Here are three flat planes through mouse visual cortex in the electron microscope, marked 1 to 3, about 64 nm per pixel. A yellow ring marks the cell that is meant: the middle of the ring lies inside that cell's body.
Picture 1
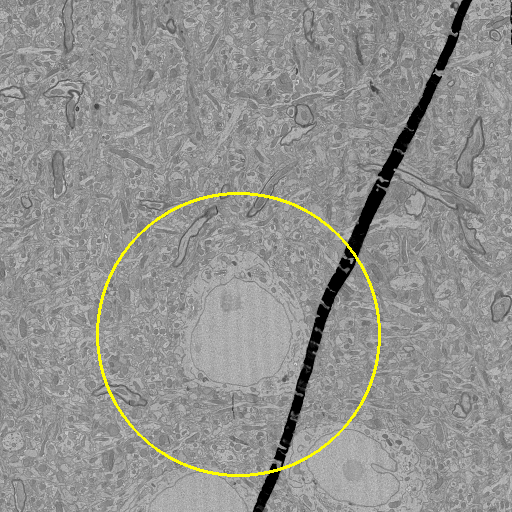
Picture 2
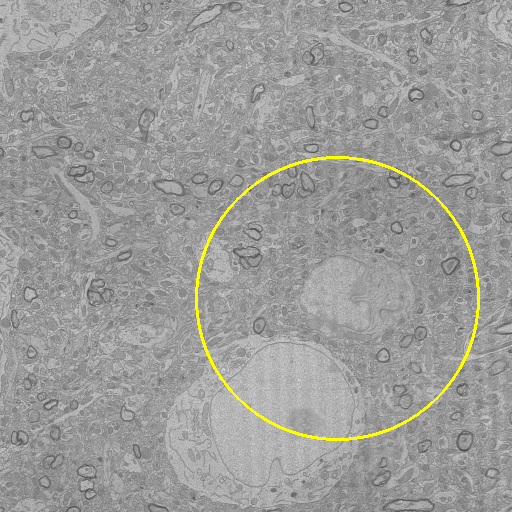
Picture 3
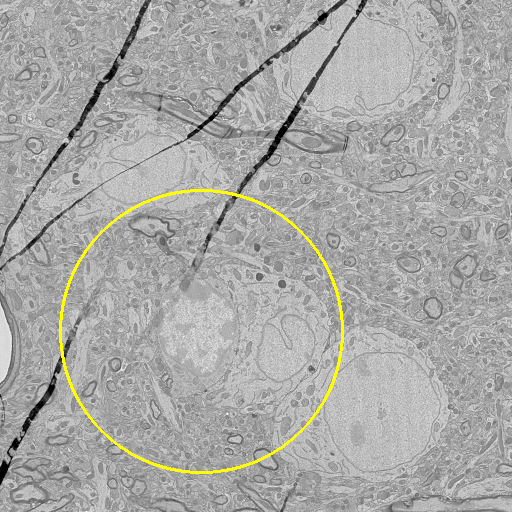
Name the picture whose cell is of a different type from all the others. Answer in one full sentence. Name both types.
Picture 1 is the odd one out: it shows an excitatory neuron, while the others show oligodendrocytes.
